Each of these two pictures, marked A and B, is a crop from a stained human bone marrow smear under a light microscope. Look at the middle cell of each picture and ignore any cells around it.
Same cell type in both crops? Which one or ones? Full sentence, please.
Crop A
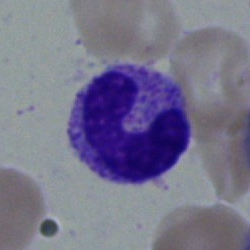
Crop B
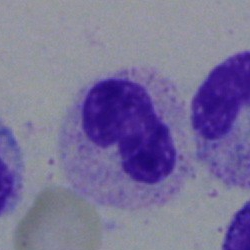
Yes, both crops depict band neutrophils at the centre.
